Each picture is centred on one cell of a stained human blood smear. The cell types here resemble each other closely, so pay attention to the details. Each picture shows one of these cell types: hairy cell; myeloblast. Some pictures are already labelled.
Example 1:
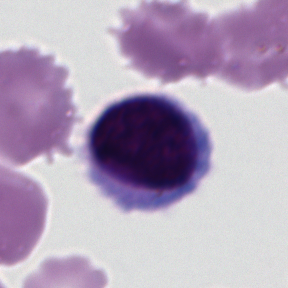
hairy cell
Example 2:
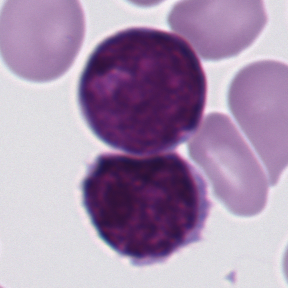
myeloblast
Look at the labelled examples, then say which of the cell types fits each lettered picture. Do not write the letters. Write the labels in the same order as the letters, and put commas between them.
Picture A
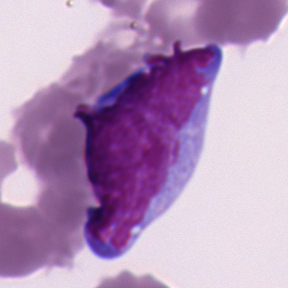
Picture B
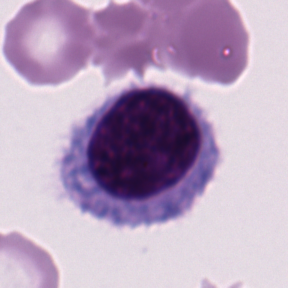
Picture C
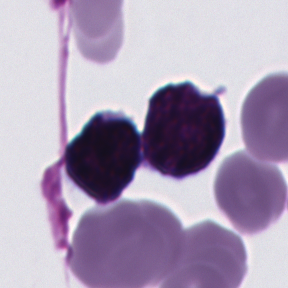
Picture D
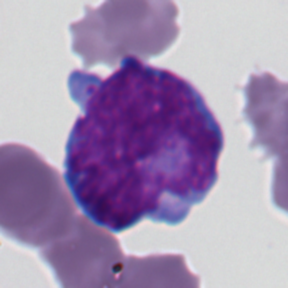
myeloblast, hairy cell, myeloblast, myeloblast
